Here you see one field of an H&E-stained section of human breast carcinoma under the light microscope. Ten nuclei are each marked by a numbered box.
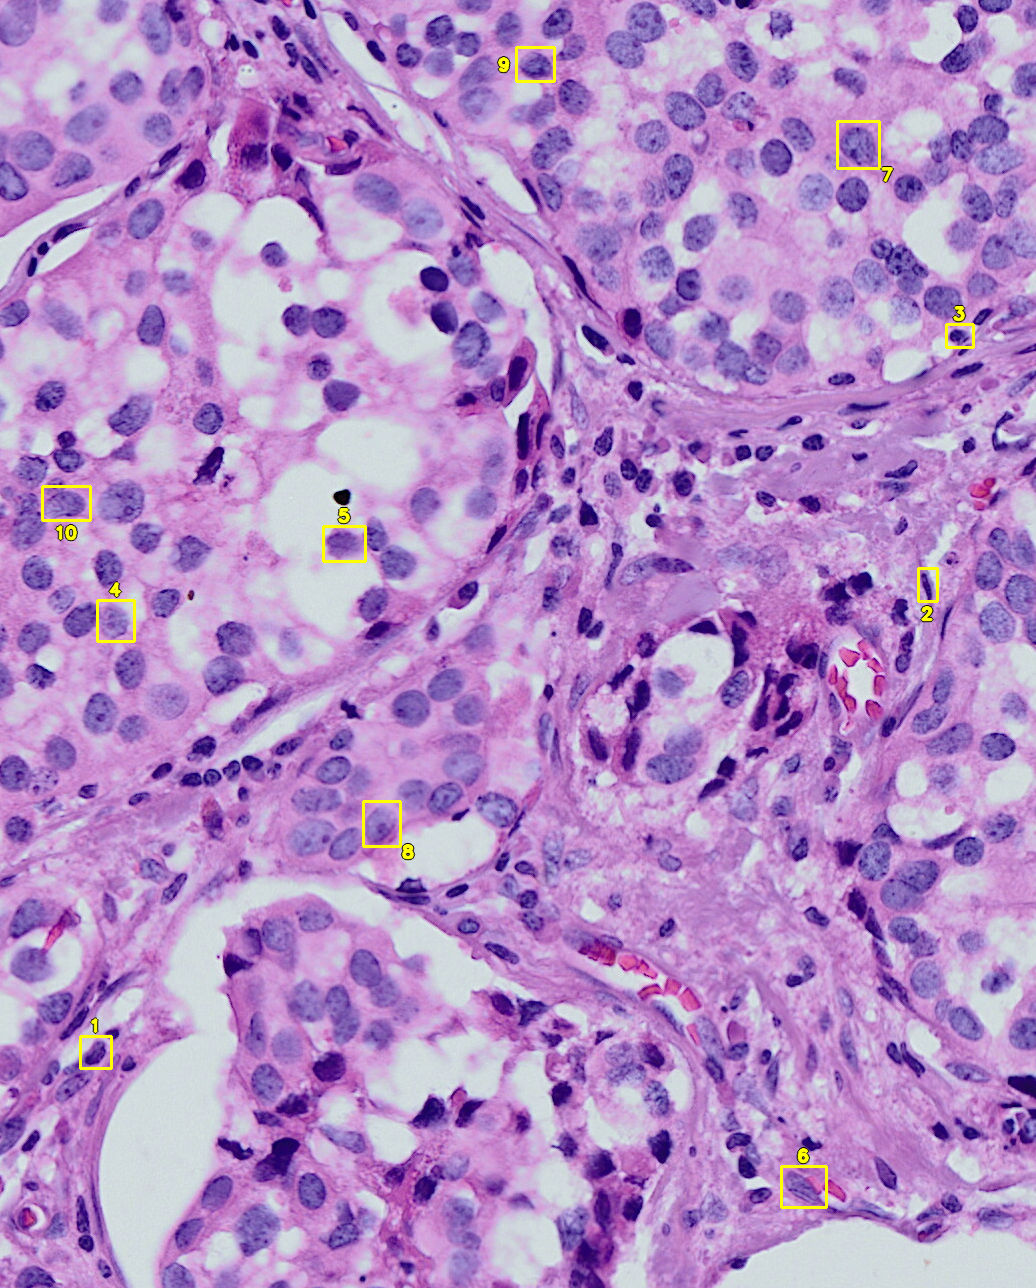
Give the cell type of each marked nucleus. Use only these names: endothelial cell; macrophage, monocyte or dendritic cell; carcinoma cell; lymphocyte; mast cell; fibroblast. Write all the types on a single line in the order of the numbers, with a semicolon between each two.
lymphocyte; fibroblast; lymphocyte; carcinoma cell; carcinoma cell; endothelial cell; carcinoma cell; carcinoma cell; carcinoma cell; carcinoma cell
